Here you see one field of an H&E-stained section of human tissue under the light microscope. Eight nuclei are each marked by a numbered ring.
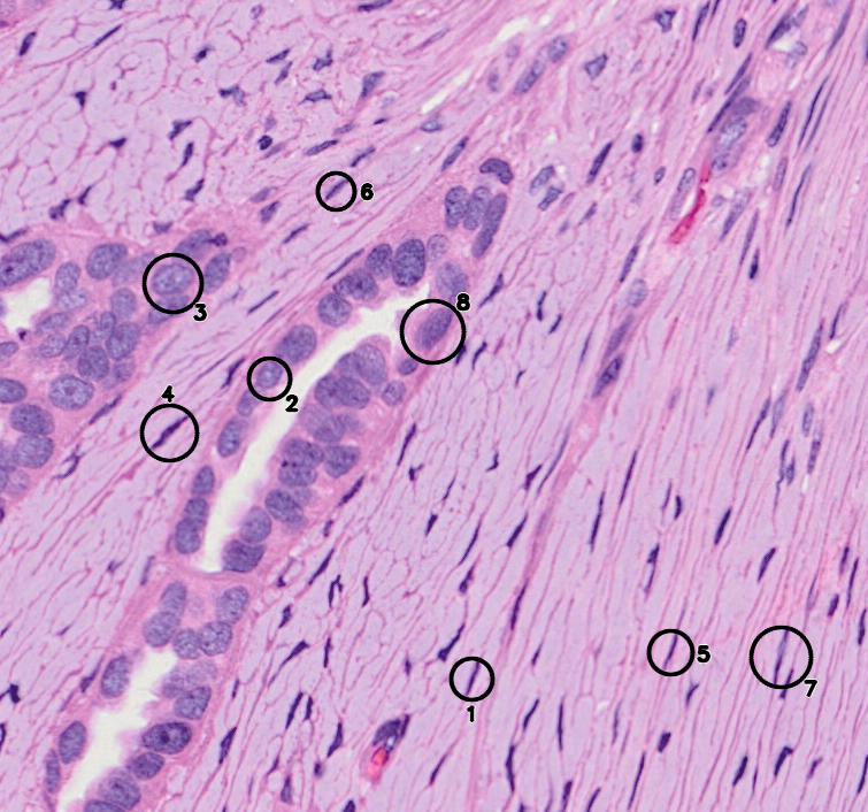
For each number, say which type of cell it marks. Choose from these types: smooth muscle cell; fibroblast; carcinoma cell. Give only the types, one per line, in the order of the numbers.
fibroblast
carcinoma cell
carcinoma cell
fibroblast
fibroblast
fibroblast
fibroblast
carcinoma cell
